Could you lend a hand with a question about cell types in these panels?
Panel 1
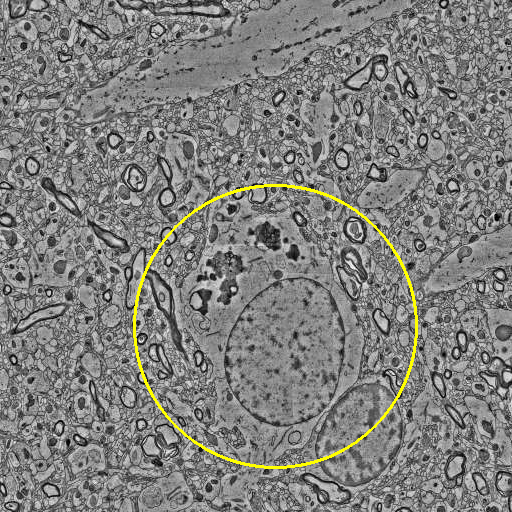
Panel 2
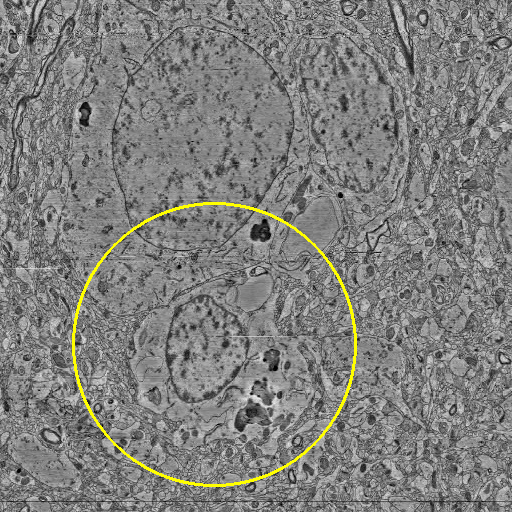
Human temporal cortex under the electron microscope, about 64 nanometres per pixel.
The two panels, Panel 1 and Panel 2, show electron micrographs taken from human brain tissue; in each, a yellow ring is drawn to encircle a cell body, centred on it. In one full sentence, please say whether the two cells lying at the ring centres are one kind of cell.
Yes, the cells at the ring centres in the two panels are one kind of cell.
